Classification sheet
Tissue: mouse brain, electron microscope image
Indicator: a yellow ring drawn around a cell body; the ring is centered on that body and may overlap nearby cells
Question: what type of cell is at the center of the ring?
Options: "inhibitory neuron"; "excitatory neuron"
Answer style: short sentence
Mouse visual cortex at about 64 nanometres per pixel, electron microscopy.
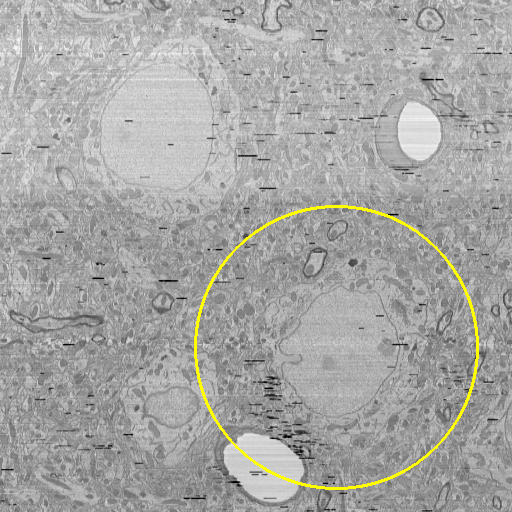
At the ring's center is an excitatory neuron.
